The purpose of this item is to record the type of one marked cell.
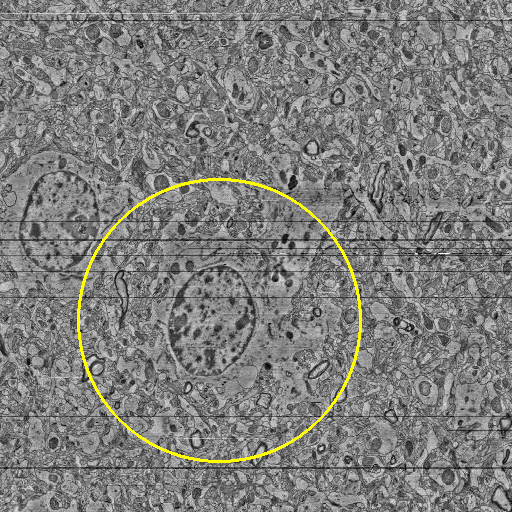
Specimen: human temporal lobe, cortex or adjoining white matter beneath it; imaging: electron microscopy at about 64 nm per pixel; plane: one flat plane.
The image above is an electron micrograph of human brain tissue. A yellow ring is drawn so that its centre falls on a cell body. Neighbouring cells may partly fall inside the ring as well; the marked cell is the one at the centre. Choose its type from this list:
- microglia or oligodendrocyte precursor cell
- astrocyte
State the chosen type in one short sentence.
What the ring marks here is an astrocyte.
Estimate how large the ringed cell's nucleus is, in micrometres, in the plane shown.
In this plane, about 7 micrometres in length and 5 in width.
